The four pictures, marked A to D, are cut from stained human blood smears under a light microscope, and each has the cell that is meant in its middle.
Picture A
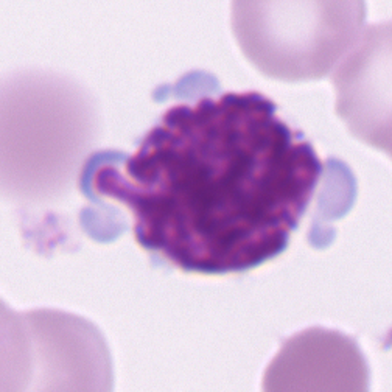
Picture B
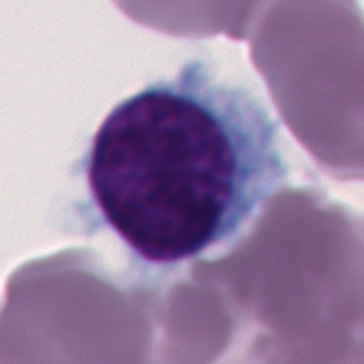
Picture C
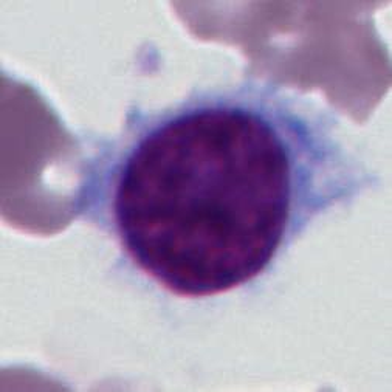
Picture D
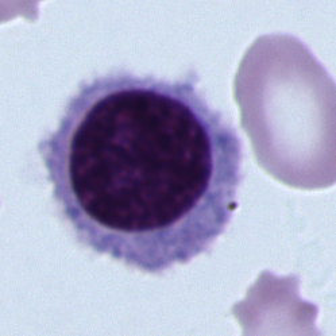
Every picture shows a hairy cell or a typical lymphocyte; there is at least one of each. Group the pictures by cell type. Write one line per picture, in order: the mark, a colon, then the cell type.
A: typical lymphocyte
B: hairy cell
C: hairy cell
D: hairy cell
